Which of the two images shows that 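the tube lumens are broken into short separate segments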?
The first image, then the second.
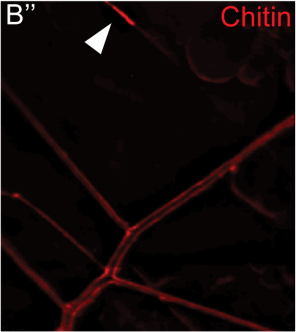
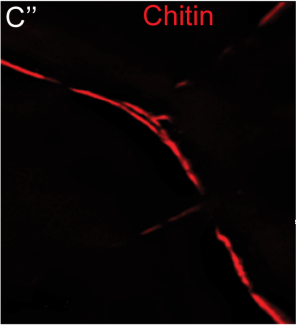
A: The second image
